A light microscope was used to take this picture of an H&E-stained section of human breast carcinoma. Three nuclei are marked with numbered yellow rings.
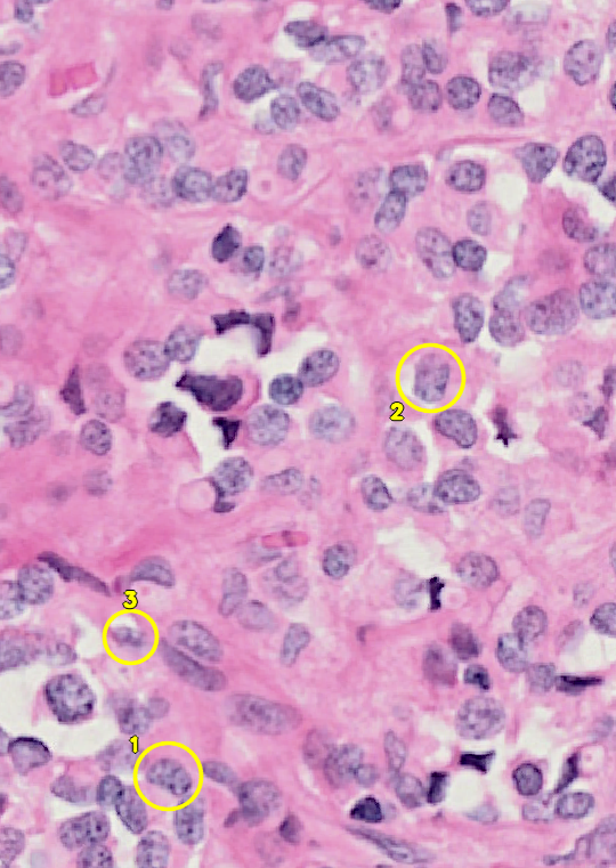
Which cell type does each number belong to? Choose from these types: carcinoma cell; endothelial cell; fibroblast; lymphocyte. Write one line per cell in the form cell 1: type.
cell 1: carcinoma cell
cell 2: carcinoma cell
cell 3: endothelial cell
